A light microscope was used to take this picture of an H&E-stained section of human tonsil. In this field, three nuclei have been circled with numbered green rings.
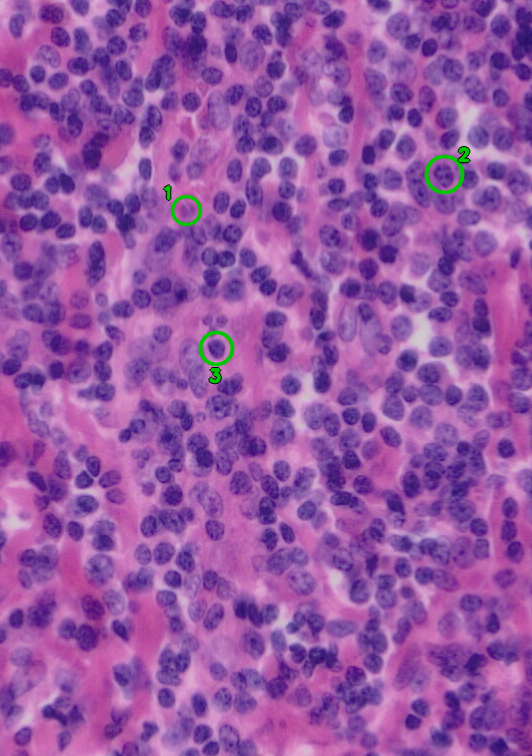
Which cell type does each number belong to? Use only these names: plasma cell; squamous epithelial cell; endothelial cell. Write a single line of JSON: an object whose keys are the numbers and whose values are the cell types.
{"1": "endothelial cell", "2": "plasma cell", "3": "endothelial cell"}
